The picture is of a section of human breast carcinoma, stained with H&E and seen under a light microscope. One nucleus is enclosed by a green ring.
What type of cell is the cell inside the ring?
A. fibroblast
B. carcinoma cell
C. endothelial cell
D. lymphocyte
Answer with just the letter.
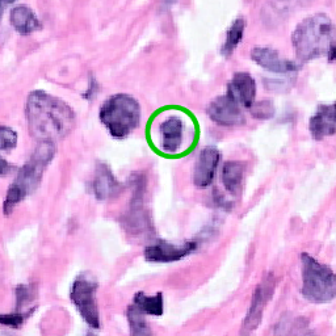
D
